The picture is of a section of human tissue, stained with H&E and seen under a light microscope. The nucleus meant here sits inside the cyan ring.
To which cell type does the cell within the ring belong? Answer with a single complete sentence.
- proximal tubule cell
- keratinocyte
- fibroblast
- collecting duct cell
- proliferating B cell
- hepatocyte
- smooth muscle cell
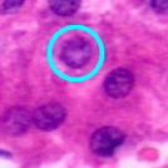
In the stained section, the cell within the ring is a hepatocyte.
